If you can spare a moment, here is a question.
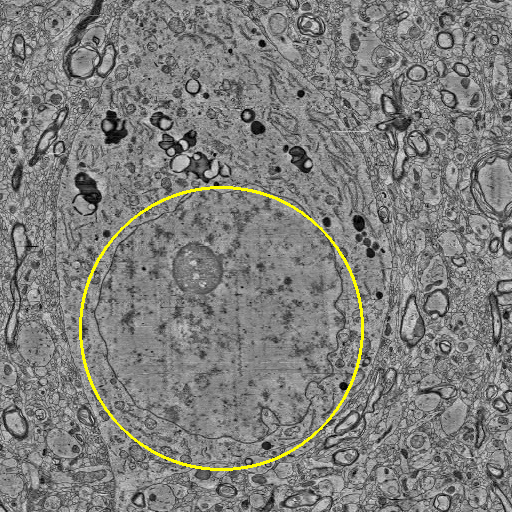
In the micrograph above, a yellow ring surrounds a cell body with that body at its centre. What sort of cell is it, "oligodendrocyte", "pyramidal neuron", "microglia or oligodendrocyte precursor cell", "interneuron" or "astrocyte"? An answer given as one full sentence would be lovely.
Centred inside the yellow ring, the cell body shown belongs to a pyramidal neuron in this micrograph.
